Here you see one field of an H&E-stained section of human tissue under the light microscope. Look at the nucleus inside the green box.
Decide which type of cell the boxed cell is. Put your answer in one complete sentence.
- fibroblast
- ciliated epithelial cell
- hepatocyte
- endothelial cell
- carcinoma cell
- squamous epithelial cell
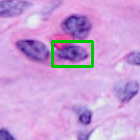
The boxed cell is an endothelial cell.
